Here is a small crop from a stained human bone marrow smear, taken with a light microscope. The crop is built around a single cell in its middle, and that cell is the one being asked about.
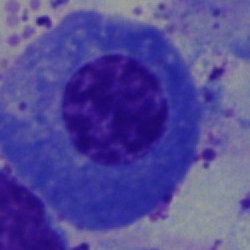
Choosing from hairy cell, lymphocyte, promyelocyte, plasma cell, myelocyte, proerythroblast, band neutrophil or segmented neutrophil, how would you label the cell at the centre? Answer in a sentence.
Standing at the centre of this crop is a plasma cell.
